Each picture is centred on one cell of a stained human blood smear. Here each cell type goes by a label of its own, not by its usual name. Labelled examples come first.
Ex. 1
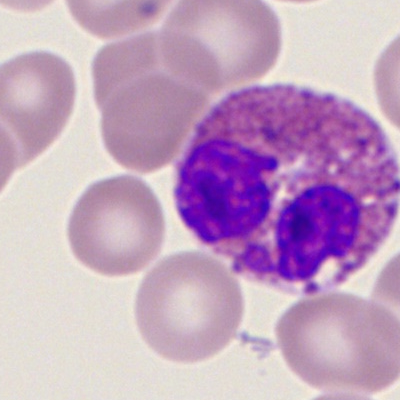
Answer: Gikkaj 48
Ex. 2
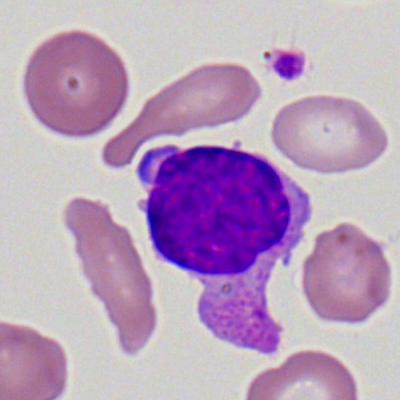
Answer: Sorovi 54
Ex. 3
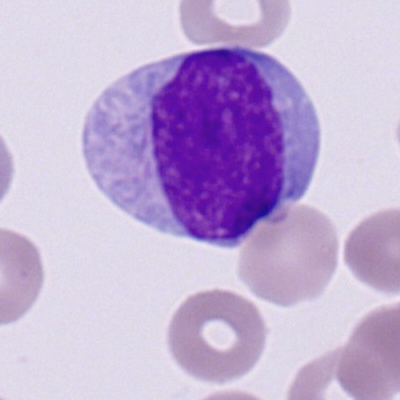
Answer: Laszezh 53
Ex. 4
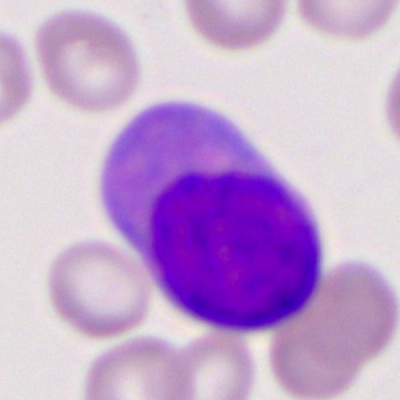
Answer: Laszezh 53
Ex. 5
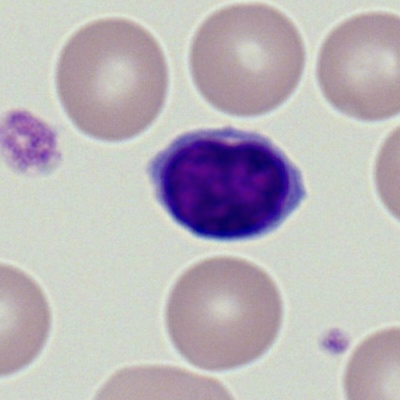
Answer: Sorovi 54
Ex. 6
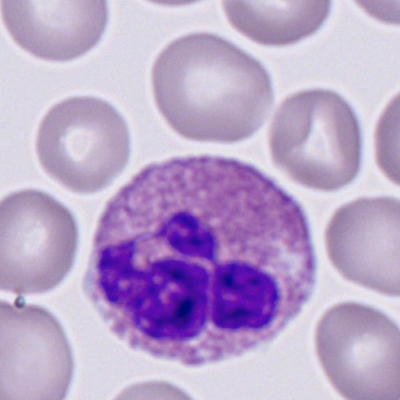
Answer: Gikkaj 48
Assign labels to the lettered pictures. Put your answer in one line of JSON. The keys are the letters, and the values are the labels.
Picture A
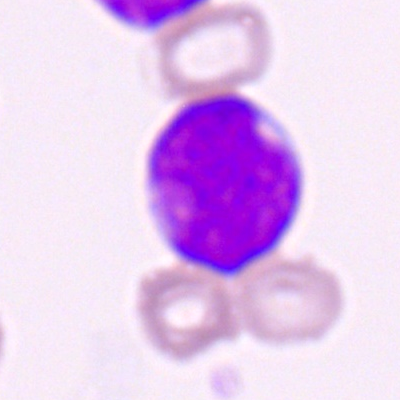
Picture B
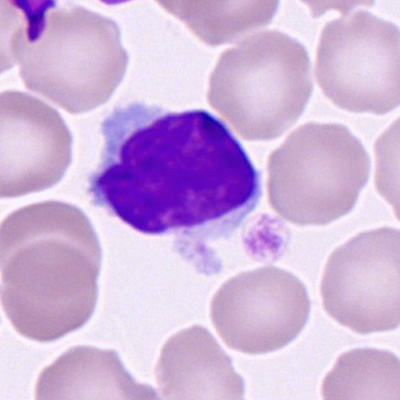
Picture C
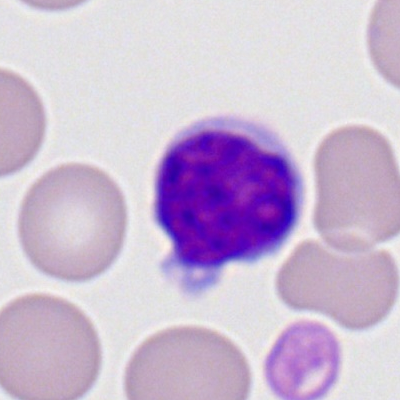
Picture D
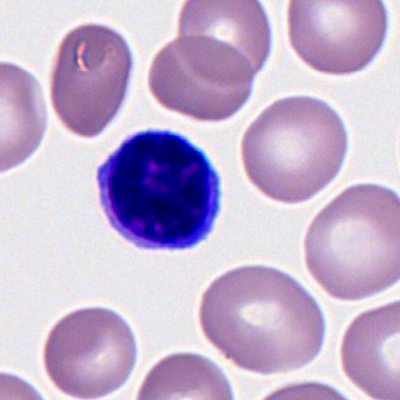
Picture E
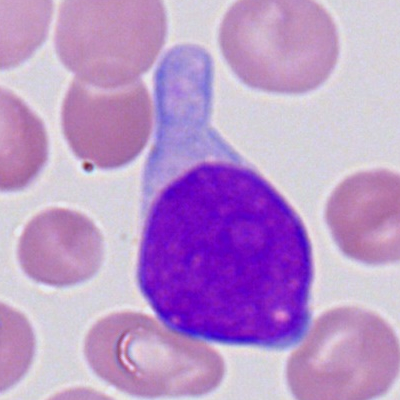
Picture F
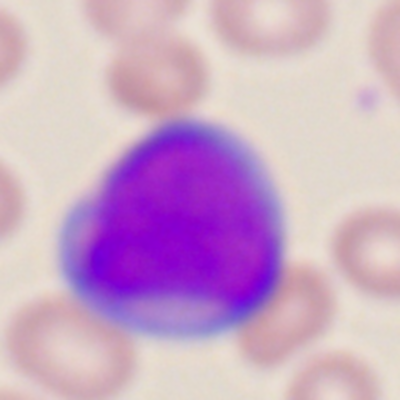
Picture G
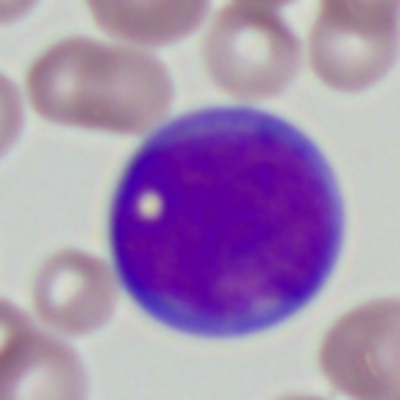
{"A": "Laszezh 53", "B": "Sorovi 54", "C": "Sorovi 54", "D": "Sorovi 54", "E": "Laszezh 53", "F": "Laszezh 53", "G": "Laszezh 53"}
